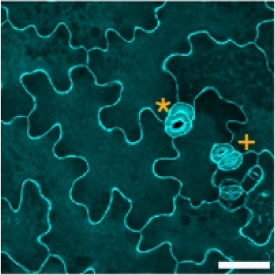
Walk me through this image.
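Leaf epidermis seen from the surface, with cell outlines in cyan. Most of the field is taken by large pavement cells with deeply lobed, jigsaw-puzzle-like walls that interlock with one another. Stomata are scarce. Toward the right, one stoma is built from three guard cells instead of the usual pair, and just below it two stomata lie side by side in parallel, giving four guard-cell lips in a row. A few small cells lie next to these stomata.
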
